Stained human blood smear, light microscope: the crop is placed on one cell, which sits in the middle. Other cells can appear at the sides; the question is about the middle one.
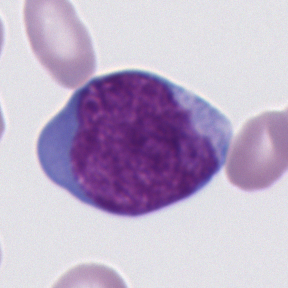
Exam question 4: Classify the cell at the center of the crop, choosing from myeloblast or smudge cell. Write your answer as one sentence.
The cell at the middle of the frame should be recorded as a myeloblast.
